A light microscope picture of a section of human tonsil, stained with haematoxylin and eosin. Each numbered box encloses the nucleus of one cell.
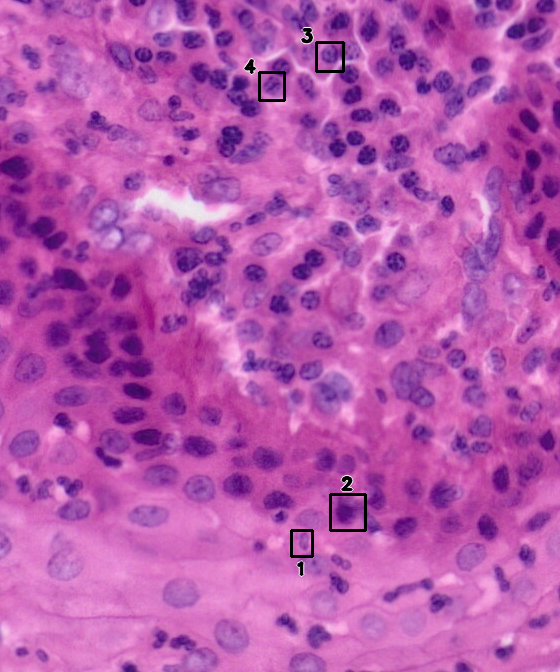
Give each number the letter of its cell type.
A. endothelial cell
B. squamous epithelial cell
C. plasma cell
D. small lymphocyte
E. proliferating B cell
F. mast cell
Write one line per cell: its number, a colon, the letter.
1: B
2: B
3: C
4: C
